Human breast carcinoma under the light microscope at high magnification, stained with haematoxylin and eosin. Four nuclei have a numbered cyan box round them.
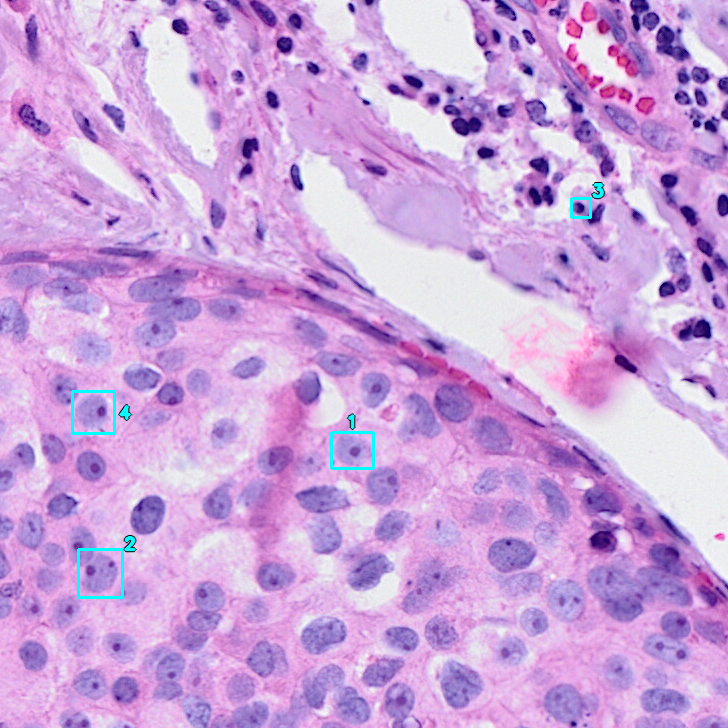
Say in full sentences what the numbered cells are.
Cell 1 is a carcinoma cell, cell 2 is a carcinoma cell, cell 3 is a lymphocyte and cell 4 is a carcinoma cell.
